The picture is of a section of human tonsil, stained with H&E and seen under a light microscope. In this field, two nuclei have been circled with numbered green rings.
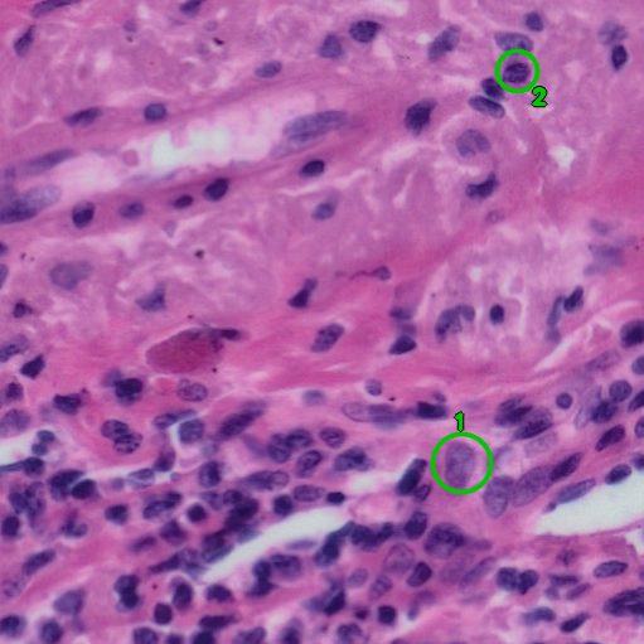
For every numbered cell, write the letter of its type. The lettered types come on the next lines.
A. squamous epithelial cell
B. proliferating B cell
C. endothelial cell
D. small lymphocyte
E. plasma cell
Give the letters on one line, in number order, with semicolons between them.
C; E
